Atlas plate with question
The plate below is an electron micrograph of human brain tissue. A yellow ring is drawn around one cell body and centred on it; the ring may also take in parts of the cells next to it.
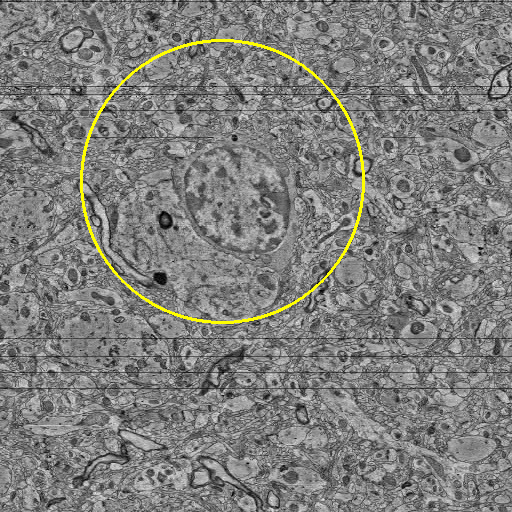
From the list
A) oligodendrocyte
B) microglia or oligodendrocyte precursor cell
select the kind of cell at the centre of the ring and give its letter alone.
A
